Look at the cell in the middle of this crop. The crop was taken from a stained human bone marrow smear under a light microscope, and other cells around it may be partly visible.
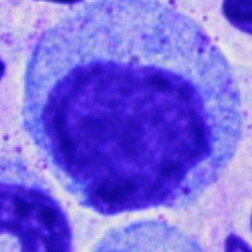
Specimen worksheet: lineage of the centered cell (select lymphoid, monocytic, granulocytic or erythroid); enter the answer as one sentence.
The middle cell is a constituent of the granulocytic lineage.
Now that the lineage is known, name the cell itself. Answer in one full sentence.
Within this crop, a promyelocyte occupies the central position.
